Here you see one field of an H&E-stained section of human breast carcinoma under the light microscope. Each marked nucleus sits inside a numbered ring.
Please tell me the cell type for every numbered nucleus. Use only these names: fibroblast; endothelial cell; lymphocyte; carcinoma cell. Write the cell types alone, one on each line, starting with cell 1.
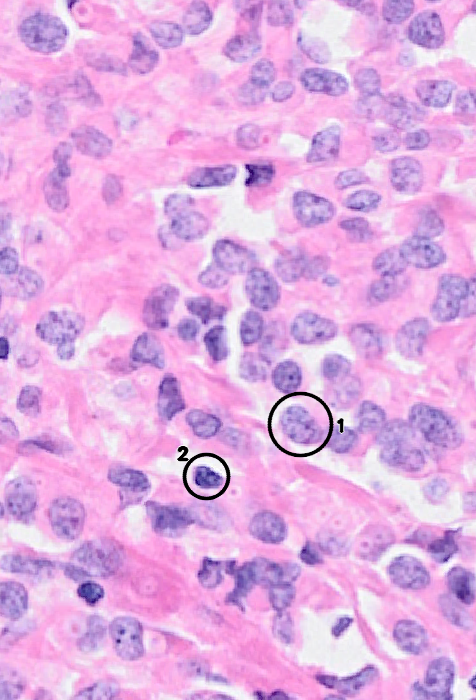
carcinoma cell
lymphocyte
